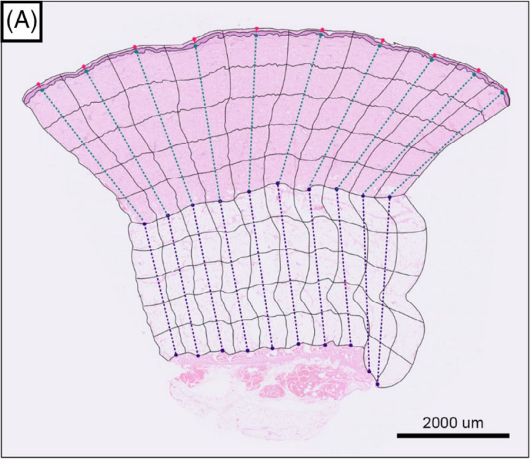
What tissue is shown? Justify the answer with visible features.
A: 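A thin darker-staining surface layer lies over a thick pink fibrous layer. A paler, looser layer lies beneath the thick pink layer. That points to this answer: skin.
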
